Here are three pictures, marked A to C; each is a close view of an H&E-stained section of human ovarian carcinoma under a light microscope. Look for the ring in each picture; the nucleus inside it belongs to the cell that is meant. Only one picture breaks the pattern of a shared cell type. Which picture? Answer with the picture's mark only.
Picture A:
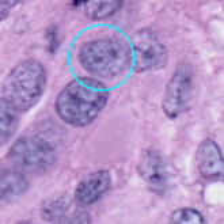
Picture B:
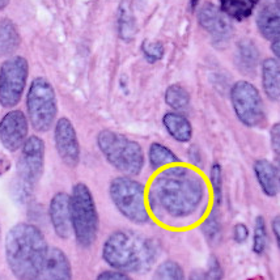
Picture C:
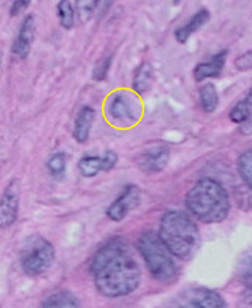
C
